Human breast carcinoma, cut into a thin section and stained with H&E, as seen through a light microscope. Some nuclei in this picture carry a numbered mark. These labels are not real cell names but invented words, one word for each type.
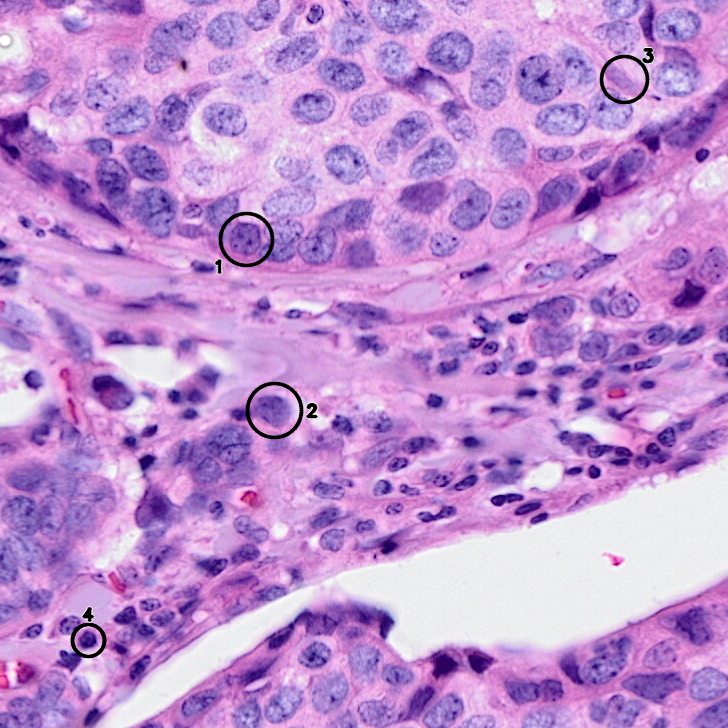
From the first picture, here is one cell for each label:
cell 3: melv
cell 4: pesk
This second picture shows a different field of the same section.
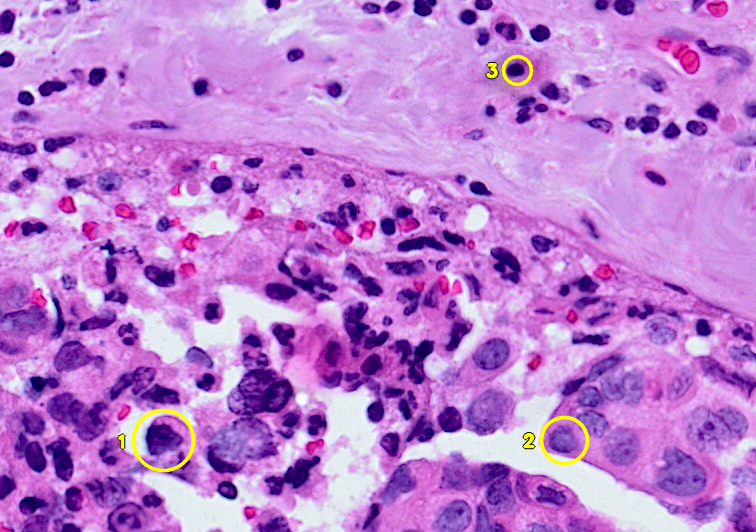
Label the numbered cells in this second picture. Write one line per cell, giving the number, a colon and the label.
1: melv
2: melv
3: pesk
